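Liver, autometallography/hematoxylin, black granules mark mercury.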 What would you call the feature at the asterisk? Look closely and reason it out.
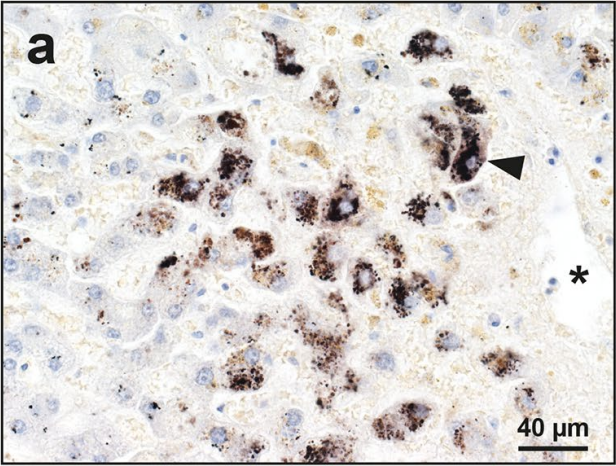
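An empty lumen at the right edge bordered by liver cell plates. So: hepatic venule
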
